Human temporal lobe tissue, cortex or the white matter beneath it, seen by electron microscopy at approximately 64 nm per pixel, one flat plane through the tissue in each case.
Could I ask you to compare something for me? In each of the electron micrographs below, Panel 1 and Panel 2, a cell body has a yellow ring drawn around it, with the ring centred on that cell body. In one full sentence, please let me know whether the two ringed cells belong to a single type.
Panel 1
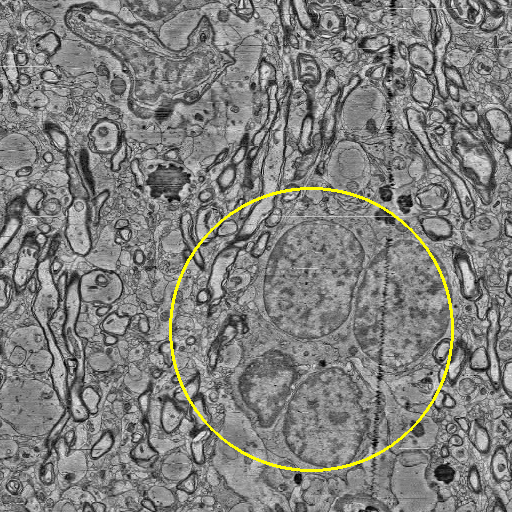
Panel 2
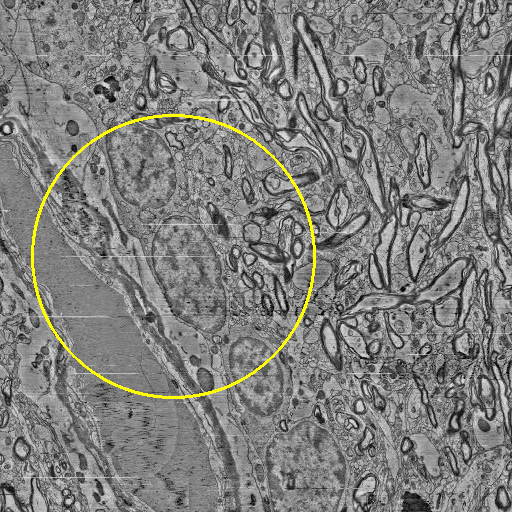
Yes, the two cells at the centres of the rings are of one type.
